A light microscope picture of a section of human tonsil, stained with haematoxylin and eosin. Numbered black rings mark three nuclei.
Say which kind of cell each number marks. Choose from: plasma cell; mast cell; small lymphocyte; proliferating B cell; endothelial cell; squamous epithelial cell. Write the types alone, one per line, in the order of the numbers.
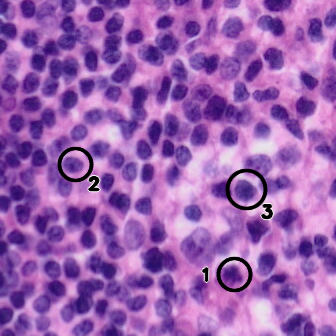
proliferating B cell
small lymphocyte
proliferating B cell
